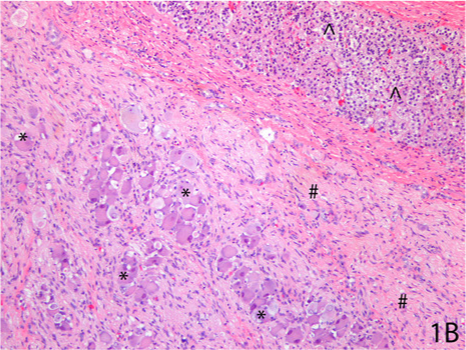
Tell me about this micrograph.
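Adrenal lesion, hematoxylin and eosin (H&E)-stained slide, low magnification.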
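Along the upper edge is a band of tightly packed small cells with round nuclei, separated by a pink fibrous strip from the tissue below. Below it lie clusters of large polygonal cells with abundant pink-purple cytoplasm and round nuclei, set in a pale pink background of streaming elongated cells with slender wavy nuclei. The large cells are scattered in groups among the spindle cells.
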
